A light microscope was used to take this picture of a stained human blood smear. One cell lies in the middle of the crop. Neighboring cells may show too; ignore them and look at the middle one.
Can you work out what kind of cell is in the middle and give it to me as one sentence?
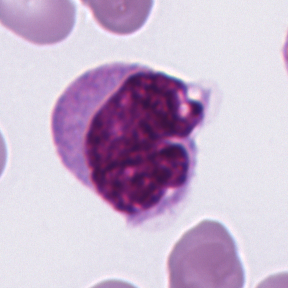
In this smear crop, the middle cell is a monocyte.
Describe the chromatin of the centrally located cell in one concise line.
Heads up, the chromatin in this one is coarsely clumped.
